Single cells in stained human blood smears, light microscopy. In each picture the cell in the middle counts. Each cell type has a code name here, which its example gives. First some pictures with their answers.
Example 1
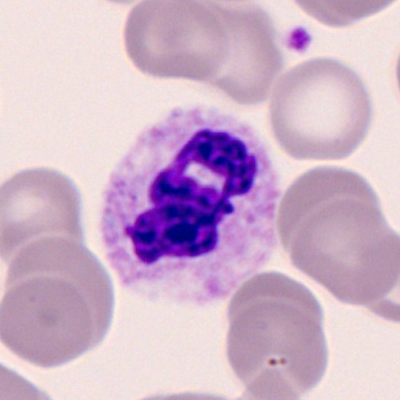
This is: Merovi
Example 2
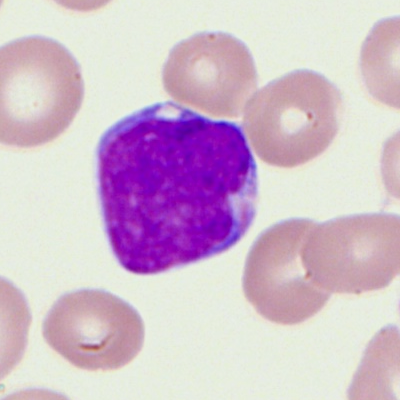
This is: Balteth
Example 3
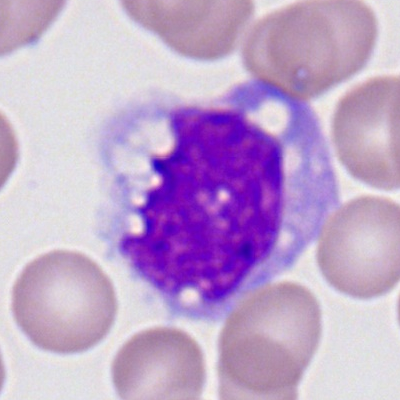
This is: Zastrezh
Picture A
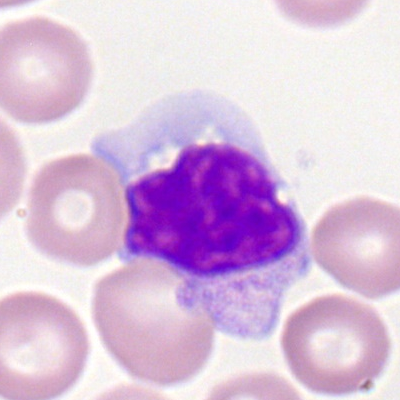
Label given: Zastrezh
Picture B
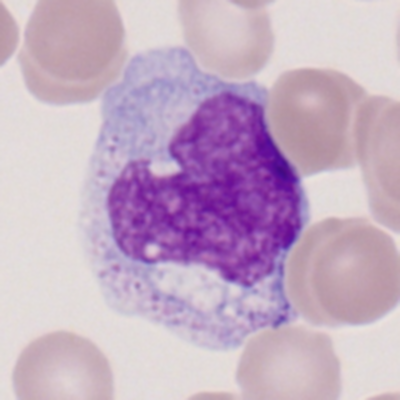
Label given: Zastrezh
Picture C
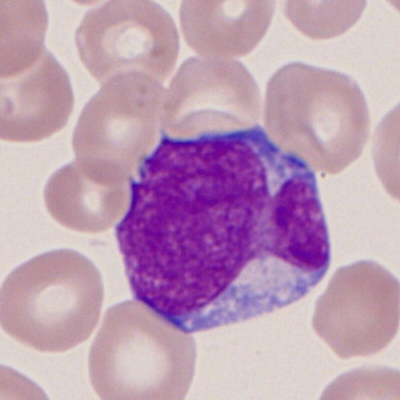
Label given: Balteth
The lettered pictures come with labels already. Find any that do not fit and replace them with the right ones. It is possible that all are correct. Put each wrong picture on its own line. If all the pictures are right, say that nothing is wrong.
No label is wrong.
